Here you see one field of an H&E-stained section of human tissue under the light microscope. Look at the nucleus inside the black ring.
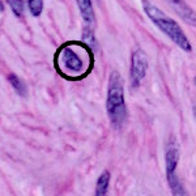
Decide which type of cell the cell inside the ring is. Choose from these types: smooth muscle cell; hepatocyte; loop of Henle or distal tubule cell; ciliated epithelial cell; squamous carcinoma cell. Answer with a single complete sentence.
In this section, the cell inside the ring is a smooth muscle cell.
